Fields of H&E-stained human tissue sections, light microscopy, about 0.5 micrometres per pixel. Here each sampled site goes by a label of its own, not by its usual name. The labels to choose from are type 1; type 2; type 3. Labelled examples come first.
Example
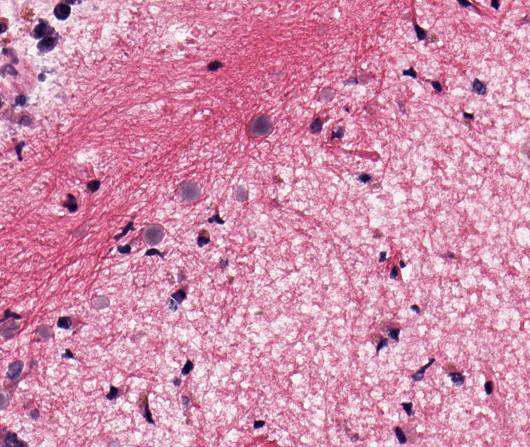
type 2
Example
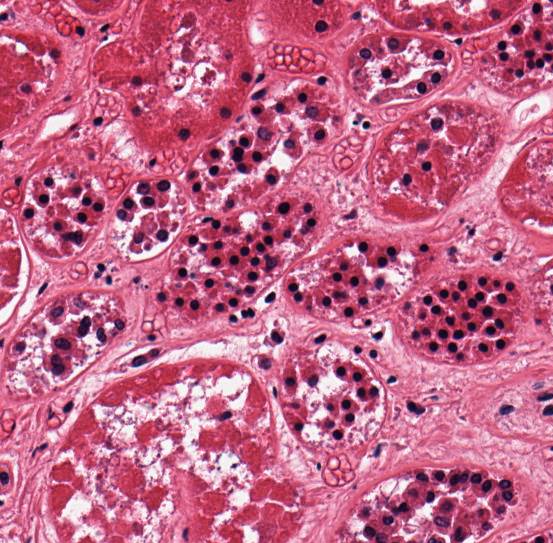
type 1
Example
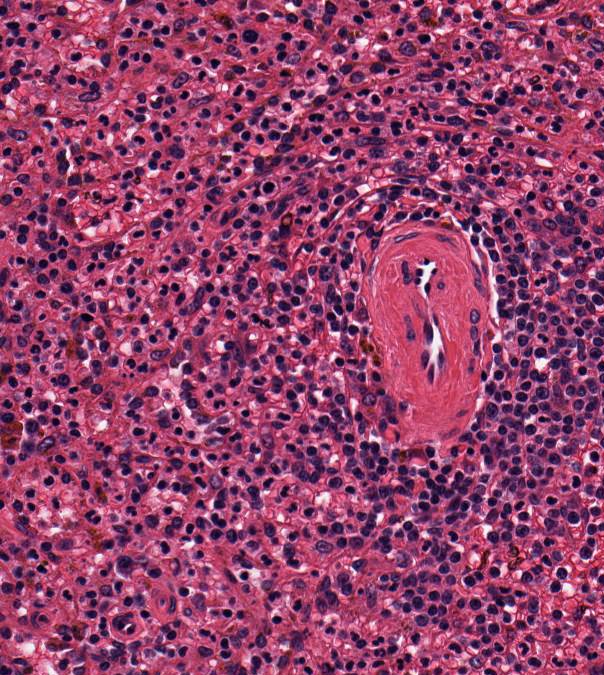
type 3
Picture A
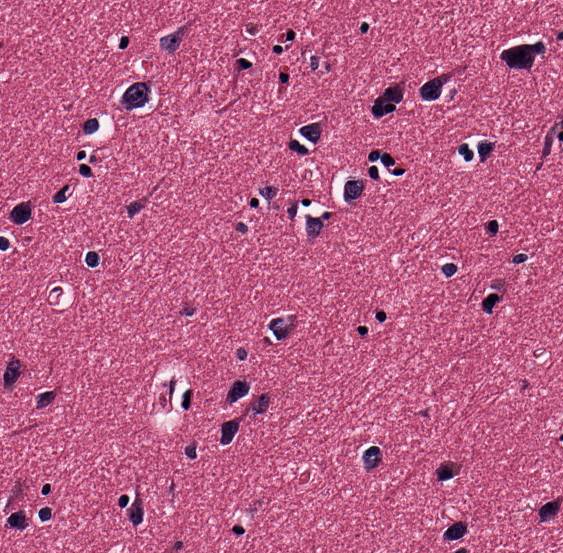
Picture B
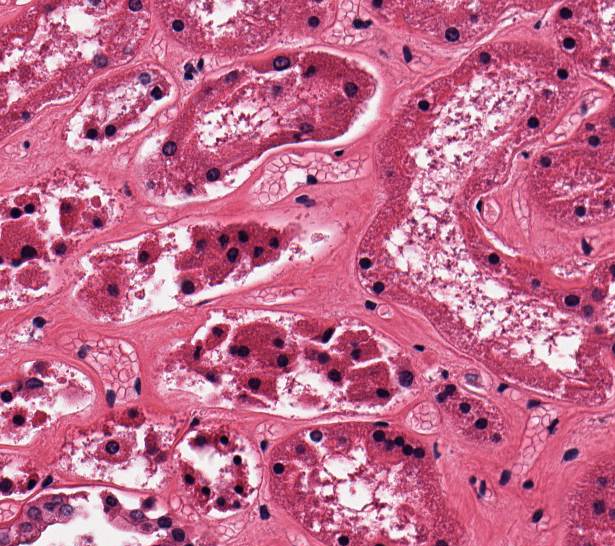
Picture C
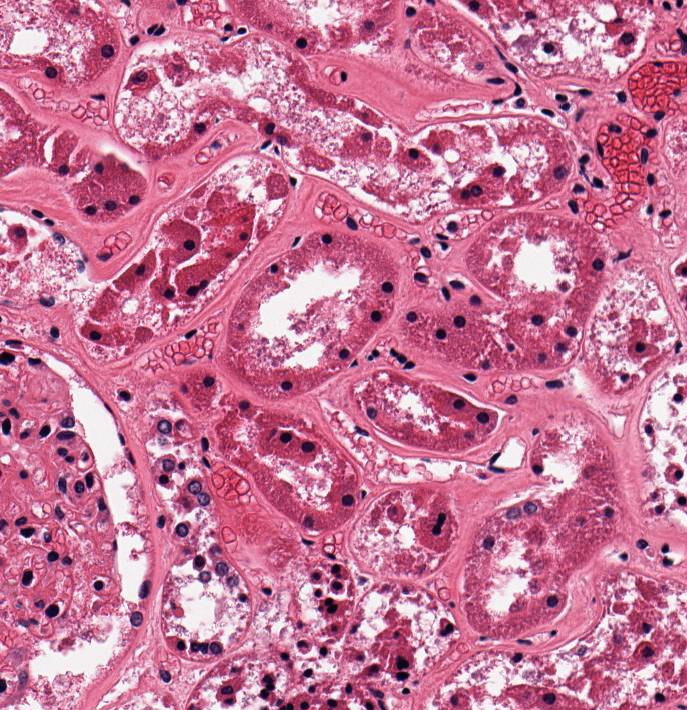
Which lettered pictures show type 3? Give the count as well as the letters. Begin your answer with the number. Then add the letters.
0, none of them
